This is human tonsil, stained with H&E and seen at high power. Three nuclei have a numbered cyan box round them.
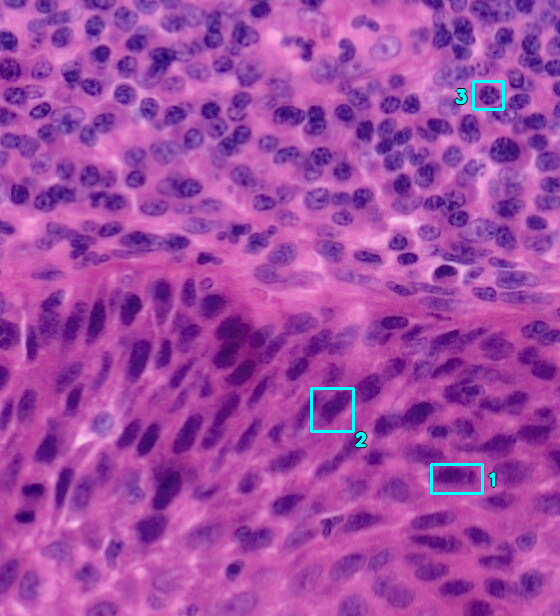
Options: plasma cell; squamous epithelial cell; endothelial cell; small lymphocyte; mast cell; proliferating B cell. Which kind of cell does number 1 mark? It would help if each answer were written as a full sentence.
The cell referenced by the number 1 is a squamous epithelial cell in this field.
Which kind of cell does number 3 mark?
The cell that carries the label 3 is a plasma cell.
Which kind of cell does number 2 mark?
The mark numbered 2 indicates the nucleus of a squamous epithelial cell.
